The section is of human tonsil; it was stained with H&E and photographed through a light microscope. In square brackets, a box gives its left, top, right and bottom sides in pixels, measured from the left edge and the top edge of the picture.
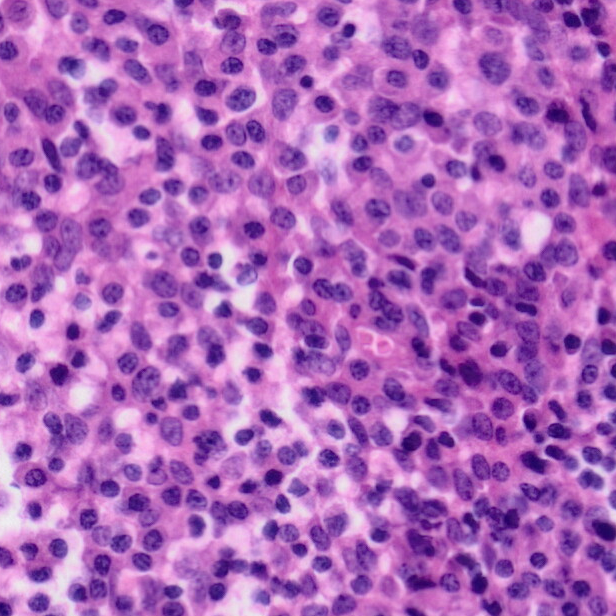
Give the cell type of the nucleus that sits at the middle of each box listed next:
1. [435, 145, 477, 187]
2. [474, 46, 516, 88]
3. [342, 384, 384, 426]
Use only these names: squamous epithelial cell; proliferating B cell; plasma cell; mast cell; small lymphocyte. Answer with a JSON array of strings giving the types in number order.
["plasma cell", "squamous epithelial cell", "plasma cell"]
